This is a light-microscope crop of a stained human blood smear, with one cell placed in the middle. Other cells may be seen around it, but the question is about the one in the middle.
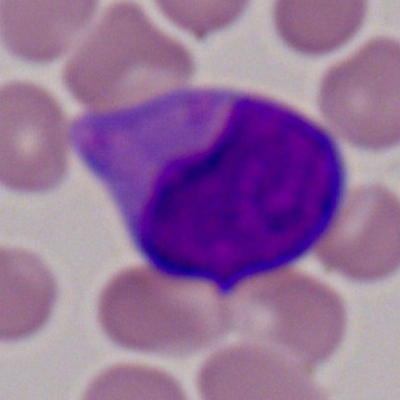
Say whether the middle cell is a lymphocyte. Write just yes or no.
no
